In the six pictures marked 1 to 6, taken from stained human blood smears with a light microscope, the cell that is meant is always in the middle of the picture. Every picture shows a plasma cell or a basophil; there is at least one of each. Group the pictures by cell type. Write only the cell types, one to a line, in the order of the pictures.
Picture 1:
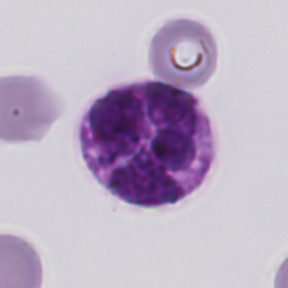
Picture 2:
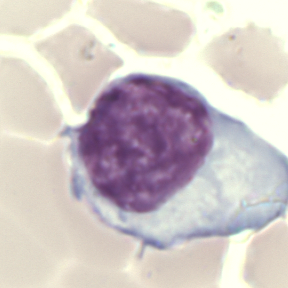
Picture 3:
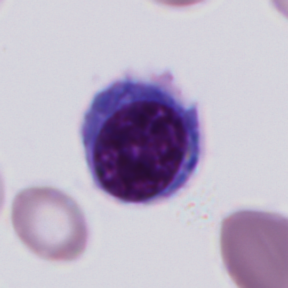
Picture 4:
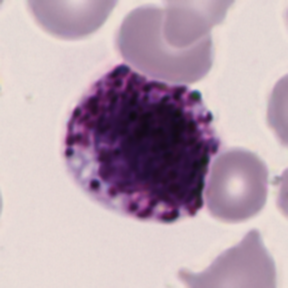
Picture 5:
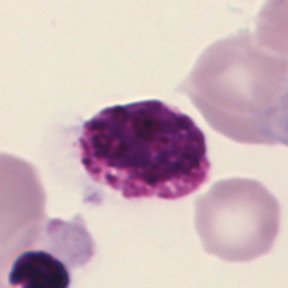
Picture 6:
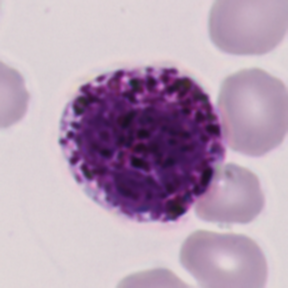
basophil
plasma cell
plasma cell
basophil
basophil
basophil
